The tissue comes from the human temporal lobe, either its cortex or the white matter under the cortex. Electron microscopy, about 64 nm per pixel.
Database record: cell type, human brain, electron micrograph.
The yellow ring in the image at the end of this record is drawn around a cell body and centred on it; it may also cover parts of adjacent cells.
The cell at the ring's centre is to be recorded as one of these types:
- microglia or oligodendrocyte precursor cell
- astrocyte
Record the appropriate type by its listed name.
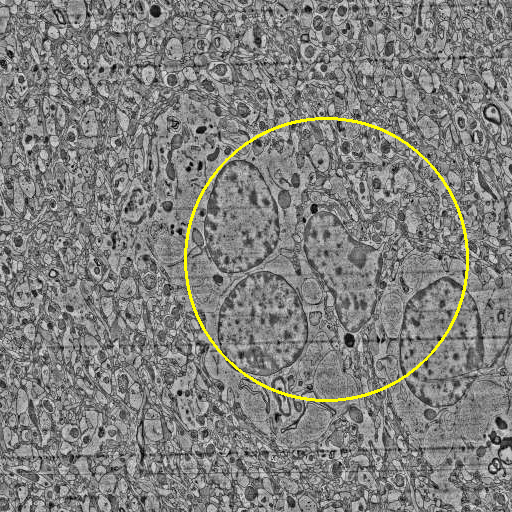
microglia or oligodendrocyte precursor cell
